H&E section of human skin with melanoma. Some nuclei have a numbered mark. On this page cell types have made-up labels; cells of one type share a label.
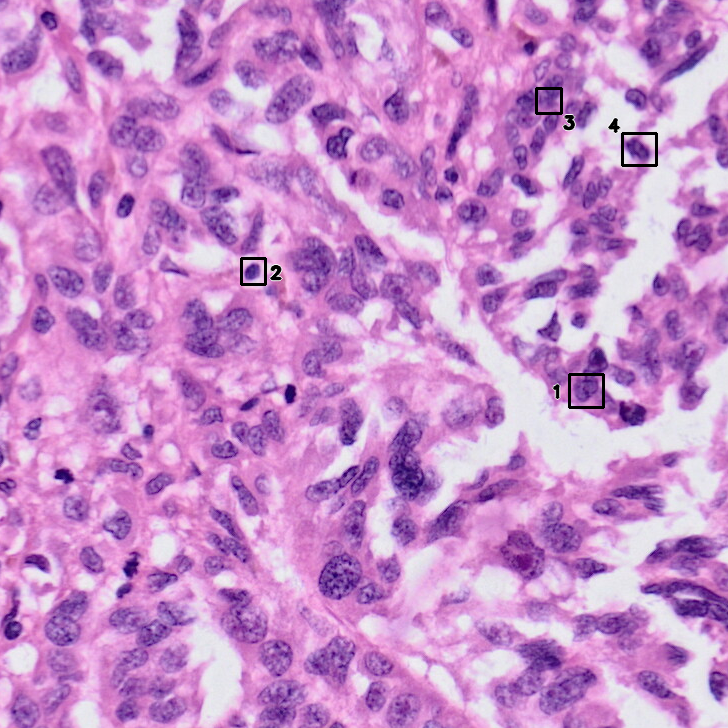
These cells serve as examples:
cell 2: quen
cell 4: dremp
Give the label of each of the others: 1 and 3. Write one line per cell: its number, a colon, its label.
1: dremp
3: dremp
